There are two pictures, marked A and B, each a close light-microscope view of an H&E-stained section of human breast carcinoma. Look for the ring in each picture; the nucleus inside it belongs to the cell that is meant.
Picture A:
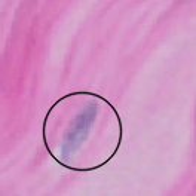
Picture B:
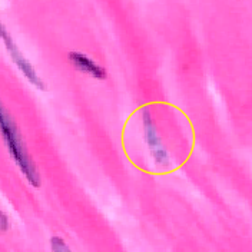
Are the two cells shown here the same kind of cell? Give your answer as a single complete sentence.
Yes, they are the same type: both are fibroblasts.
